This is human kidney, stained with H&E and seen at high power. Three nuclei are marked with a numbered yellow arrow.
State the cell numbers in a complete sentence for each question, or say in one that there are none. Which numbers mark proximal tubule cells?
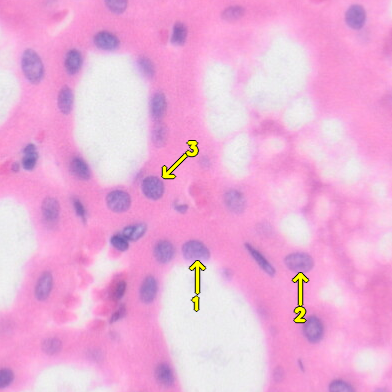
Among the marked cells, cell number 2 alone is a proximal tubule cell.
